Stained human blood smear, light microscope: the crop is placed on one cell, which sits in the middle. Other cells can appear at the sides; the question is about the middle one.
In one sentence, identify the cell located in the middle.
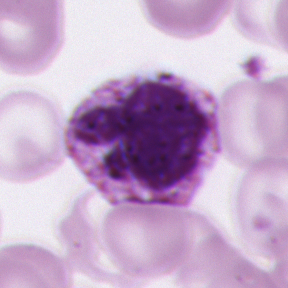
The central cell in this smear crop is a basophil.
